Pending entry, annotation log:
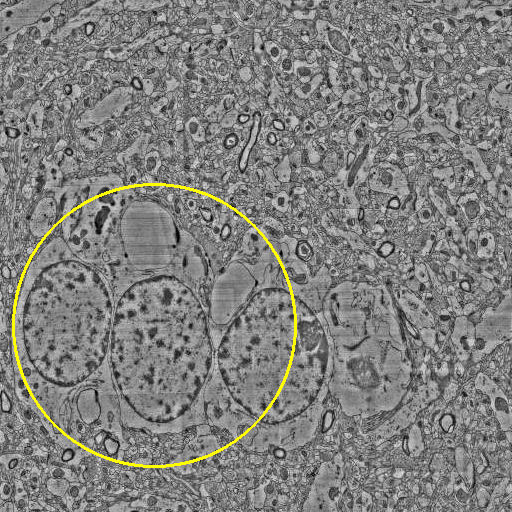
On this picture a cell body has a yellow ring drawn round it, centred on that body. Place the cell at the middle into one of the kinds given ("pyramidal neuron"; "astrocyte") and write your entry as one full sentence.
The cell body at the middle of the yellow ring belongs to an astrocyte.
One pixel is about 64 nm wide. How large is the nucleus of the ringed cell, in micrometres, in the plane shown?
Roughly 9 micrometres by 7 micrometres, in this plane.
